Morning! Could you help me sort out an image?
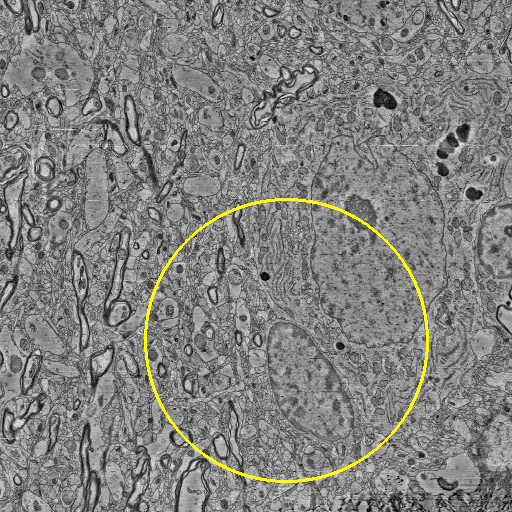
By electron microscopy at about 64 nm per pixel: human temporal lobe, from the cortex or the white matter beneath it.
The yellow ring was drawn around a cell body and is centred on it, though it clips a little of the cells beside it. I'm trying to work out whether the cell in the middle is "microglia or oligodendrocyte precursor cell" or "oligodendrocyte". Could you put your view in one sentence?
The ringed cell body is that of an oligodendrocyte.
